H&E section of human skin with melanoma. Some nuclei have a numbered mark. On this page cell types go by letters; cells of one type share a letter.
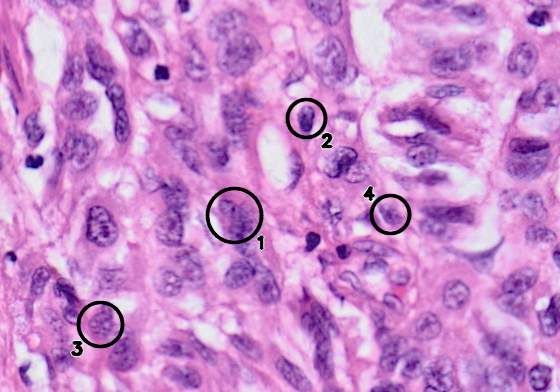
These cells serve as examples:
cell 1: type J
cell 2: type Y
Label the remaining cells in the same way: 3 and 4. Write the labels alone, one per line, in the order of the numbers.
type J
type J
